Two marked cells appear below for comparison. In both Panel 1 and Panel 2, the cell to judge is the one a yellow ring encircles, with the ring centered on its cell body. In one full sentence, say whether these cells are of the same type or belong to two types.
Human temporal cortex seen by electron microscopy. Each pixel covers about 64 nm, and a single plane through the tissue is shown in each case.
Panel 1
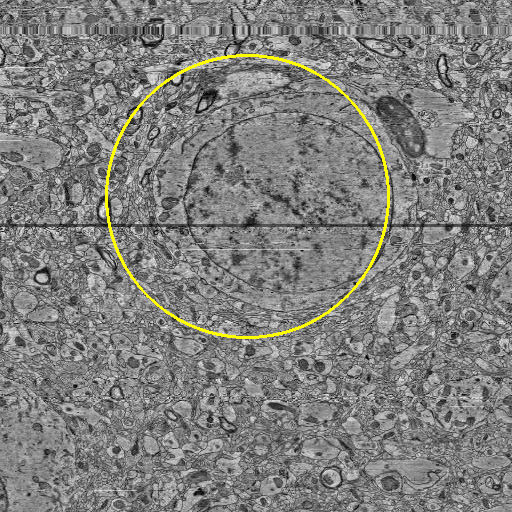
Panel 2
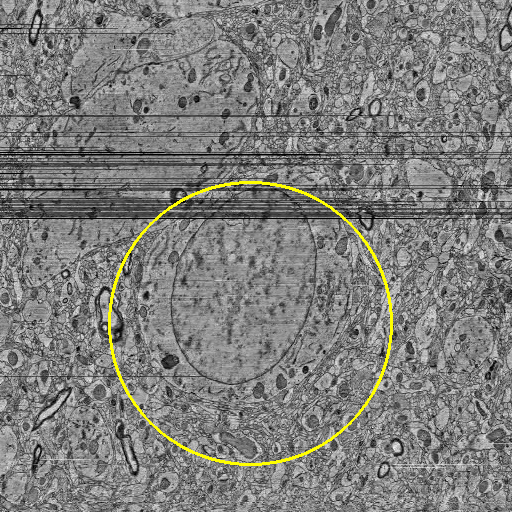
The cell centered in the Panel 1 ring and the one in Panel 2 are of the same type.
